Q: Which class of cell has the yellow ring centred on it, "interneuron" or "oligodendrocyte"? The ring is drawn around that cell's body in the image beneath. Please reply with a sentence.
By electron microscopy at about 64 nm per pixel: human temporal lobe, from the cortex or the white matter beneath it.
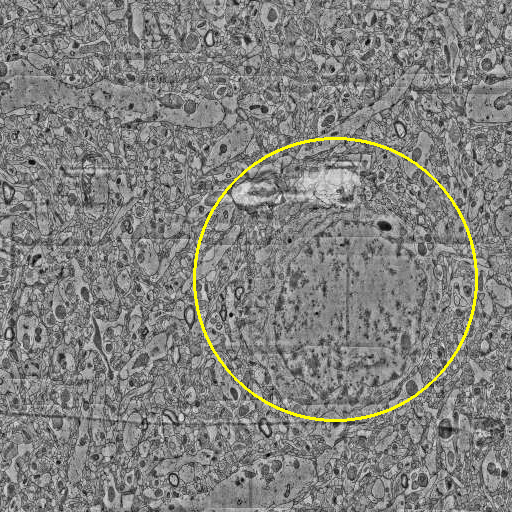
It is centred on an interneuron.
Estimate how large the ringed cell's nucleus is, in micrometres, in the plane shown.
In this plane, about 12 micrometres in length and 10 in width.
